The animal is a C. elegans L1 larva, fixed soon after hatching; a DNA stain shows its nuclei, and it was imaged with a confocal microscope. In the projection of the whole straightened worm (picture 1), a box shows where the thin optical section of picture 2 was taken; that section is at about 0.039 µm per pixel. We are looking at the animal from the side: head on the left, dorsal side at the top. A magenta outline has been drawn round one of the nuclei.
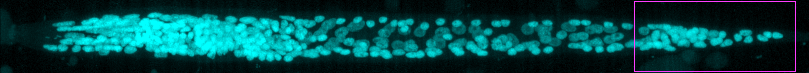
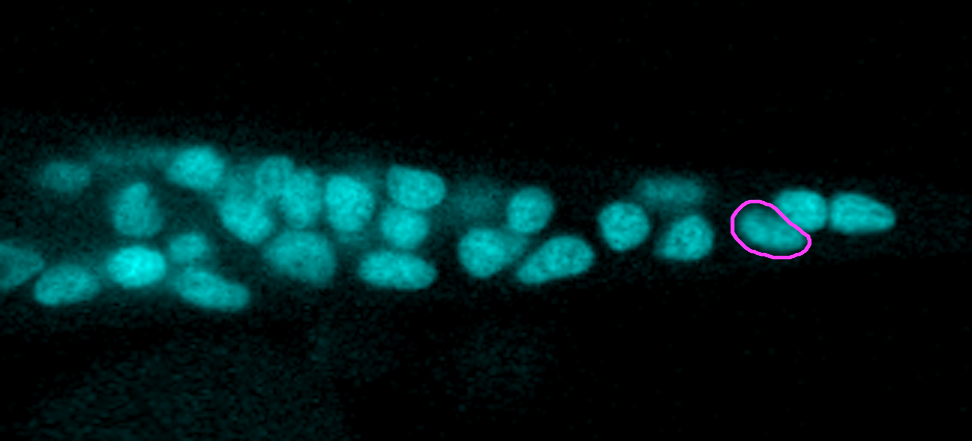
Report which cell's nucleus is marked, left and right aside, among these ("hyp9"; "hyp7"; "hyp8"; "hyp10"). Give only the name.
hyp9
